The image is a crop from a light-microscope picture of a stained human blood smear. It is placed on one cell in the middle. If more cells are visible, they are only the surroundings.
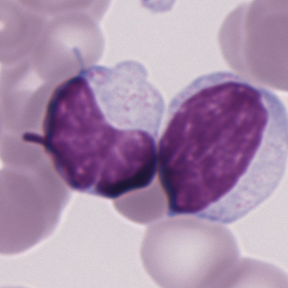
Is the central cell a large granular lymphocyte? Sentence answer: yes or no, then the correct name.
Yes, the cell occupying the center is a large granular lymphocyte.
